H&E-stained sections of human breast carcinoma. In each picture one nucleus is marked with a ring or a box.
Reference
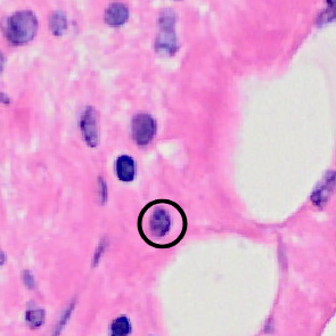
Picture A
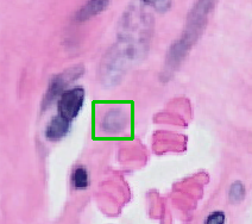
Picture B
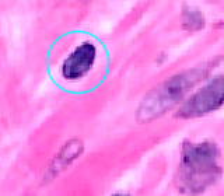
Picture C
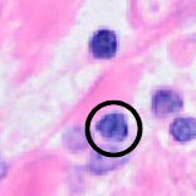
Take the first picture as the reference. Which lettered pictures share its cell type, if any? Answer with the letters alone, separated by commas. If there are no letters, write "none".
B, C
